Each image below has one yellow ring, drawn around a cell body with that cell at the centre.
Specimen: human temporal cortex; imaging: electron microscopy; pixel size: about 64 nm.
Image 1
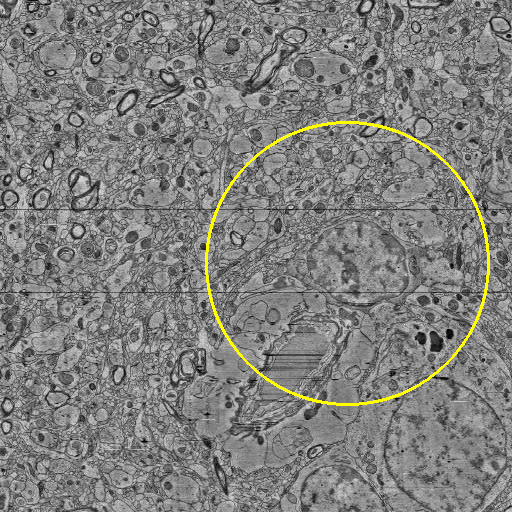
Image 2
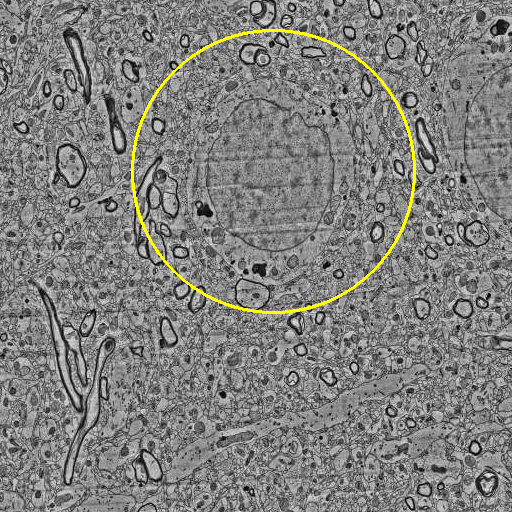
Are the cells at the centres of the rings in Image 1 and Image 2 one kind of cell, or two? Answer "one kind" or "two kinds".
two kinds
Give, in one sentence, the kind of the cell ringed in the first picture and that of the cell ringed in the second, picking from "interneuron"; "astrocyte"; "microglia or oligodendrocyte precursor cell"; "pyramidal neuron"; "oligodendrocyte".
For the first picture it is an oligodendrocyte; for the second, a pyramidal neuron.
